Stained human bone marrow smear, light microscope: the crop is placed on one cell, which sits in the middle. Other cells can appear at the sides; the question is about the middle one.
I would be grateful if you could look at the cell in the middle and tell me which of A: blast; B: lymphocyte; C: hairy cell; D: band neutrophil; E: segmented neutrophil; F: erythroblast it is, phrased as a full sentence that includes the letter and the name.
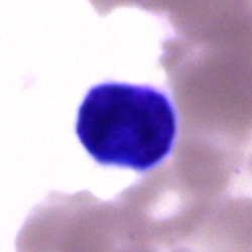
The cell occupying the centre is a lymphocyte; option B is thus the correct choice.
